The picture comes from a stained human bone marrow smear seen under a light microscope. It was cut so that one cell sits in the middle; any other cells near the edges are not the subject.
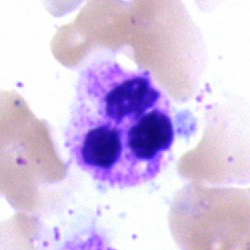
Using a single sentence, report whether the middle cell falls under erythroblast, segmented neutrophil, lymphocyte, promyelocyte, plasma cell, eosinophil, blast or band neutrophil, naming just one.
The cell in the middle of the field of view is a segmented neutrophil.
